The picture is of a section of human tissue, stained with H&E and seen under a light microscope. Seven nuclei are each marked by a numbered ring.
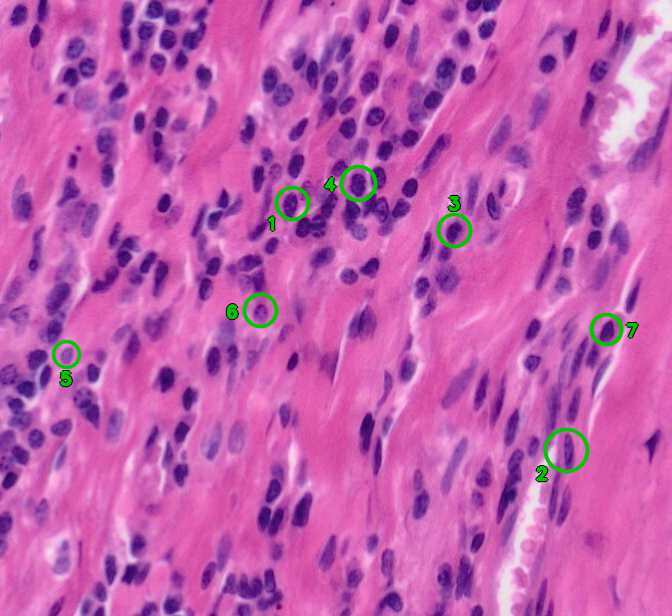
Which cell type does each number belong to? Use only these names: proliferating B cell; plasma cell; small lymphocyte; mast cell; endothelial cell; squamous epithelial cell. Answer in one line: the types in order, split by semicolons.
plasma cell; endothelial cell; plasma cell; plasma cell; mast cell; mast cell; mast cell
